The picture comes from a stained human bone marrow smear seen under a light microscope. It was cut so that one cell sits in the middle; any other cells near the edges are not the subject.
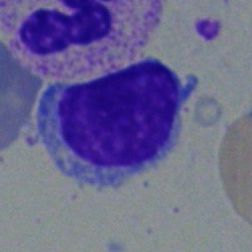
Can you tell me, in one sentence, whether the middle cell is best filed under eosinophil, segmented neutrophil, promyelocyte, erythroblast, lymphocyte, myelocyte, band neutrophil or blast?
Looking at the middle of the crop, the cell there is a lymphocyte.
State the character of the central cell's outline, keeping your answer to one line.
Projections or ragged segments give this cell an irregular rather than smooth border.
